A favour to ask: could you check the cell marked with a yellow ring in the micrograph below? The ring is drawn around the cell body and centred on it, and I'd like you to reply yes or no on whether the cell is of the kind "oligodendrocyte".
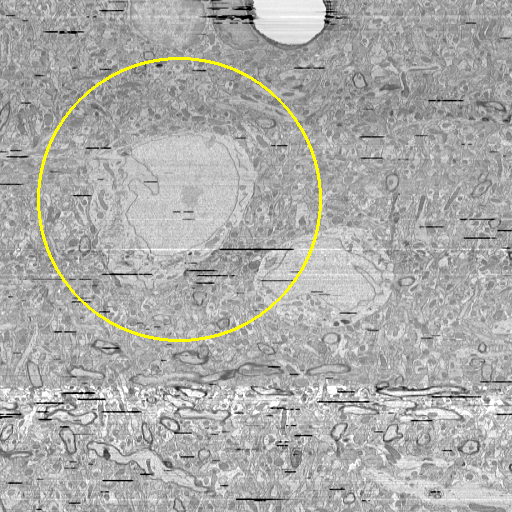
no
